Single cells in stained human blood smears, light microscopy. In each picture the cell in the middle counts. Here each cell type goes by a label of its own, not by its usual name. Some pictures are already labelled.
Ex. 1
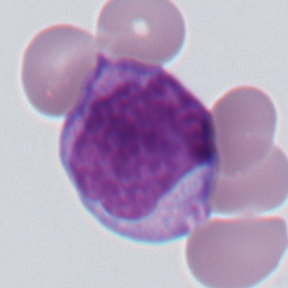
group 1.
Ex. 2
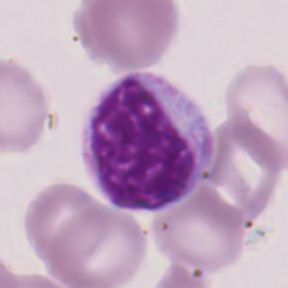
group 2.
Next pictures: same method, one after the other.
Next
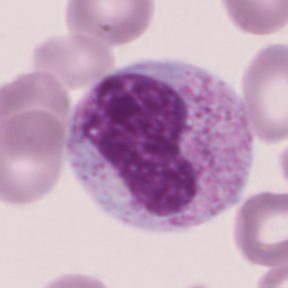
group 2.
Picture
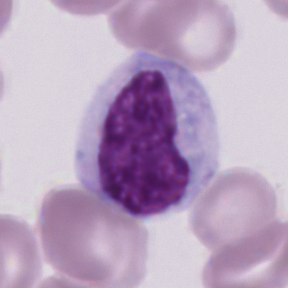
group 2.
